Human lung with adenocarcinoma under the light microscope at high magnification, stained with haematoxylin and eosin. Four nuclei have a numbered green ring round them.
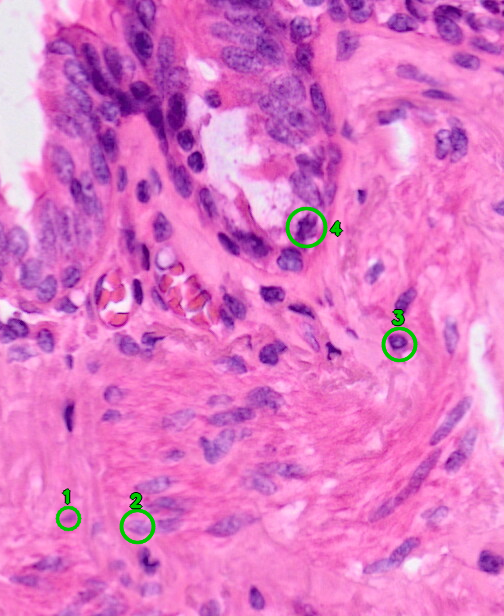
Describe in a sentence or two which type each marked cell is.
Cells 1 and 2 are smooth muscle cells or pericytes. Cell 3 is a mast cell. Cell 4 is a ciliated epithelial cell.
